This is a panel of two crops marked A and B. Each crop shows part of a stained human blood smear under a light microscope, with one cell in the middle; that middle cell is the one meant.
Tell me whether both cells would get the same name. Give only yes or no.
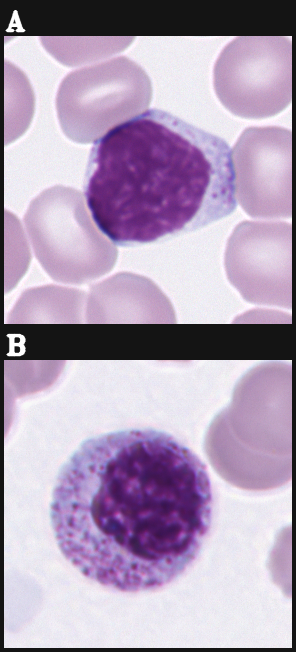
no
